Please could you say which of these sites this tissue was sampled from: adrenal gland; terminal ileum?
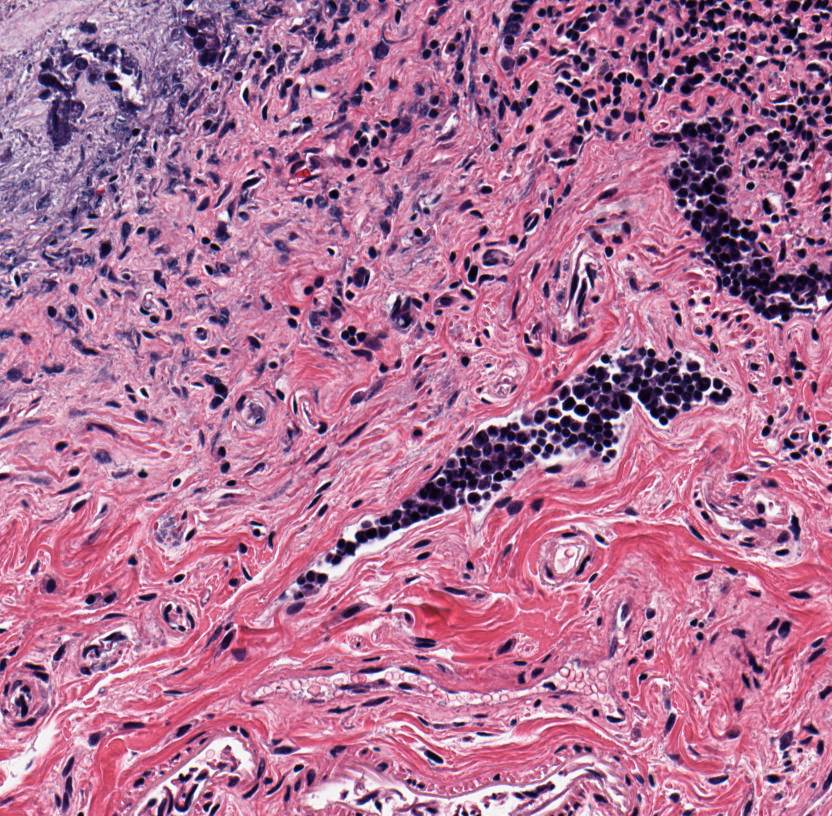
terminal ileum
